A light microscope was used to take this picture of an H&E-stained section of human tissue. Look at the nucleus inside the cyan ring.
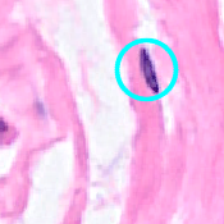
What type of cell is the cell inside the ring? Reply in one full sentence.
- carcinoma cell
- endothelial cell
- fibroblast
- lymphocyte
In this section, the cell inside the ring is a fibroblast.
